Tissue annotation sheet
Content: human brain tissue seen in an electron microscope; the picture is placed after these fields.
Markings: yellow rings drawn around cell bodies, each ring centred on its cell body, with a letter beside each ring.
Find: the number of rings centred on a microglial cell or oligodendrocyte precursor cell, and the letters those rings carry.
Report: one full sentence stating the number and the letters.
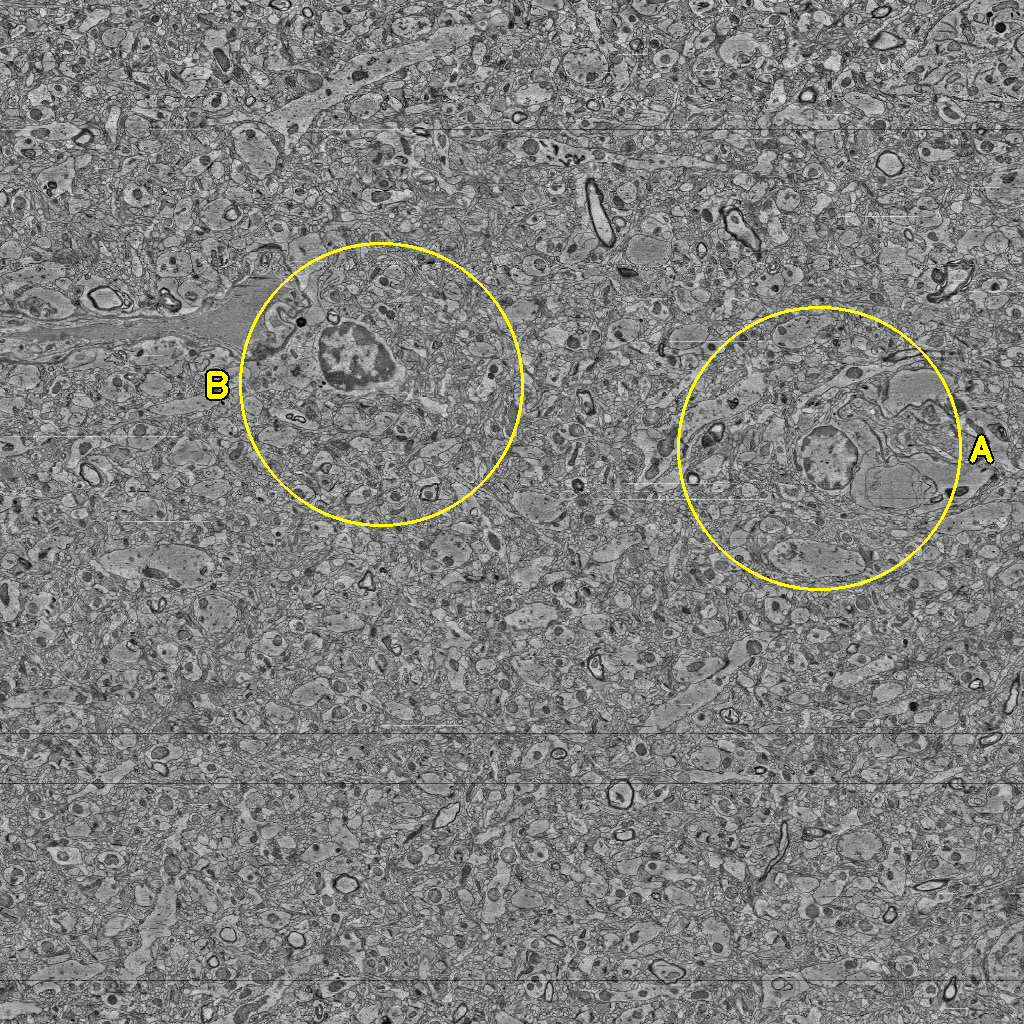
Altogether, two rings are centred on a microglial cell or oligodendrocyte precursor cell apiece, namely the ones carrying the letters A and B.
